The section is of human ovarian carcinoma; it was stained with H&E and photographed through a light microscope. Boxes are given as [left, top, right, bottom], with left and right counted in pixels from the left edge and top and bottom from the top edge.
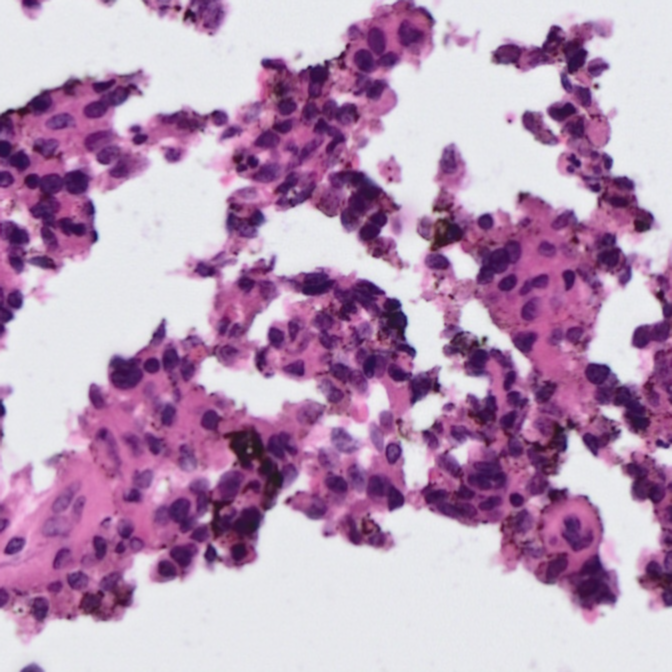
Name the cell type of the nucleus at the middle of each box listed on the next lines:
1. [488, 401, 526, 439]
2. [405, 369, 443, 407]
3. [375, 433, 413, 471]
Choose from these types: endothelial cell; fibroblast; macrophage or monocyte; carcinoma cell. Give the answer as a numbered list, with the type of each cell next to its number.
1. carcinoma cell
2. carcinoma cell
3. macrophage or monocyte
